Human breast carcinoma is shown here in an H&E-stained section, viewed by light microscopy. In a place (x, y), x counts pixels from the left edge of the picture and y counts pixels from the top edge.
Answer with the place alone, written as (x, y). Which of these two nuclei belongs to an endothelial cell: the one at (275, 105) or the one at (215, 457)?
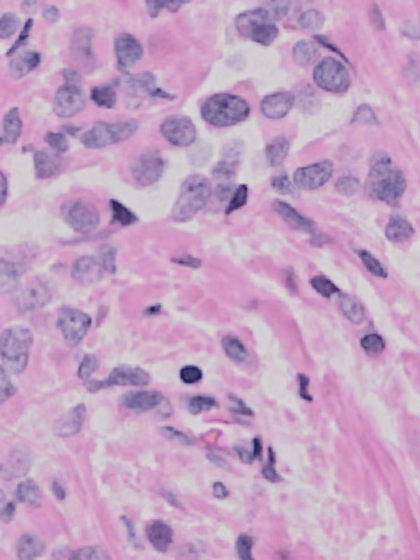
(215, 457)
